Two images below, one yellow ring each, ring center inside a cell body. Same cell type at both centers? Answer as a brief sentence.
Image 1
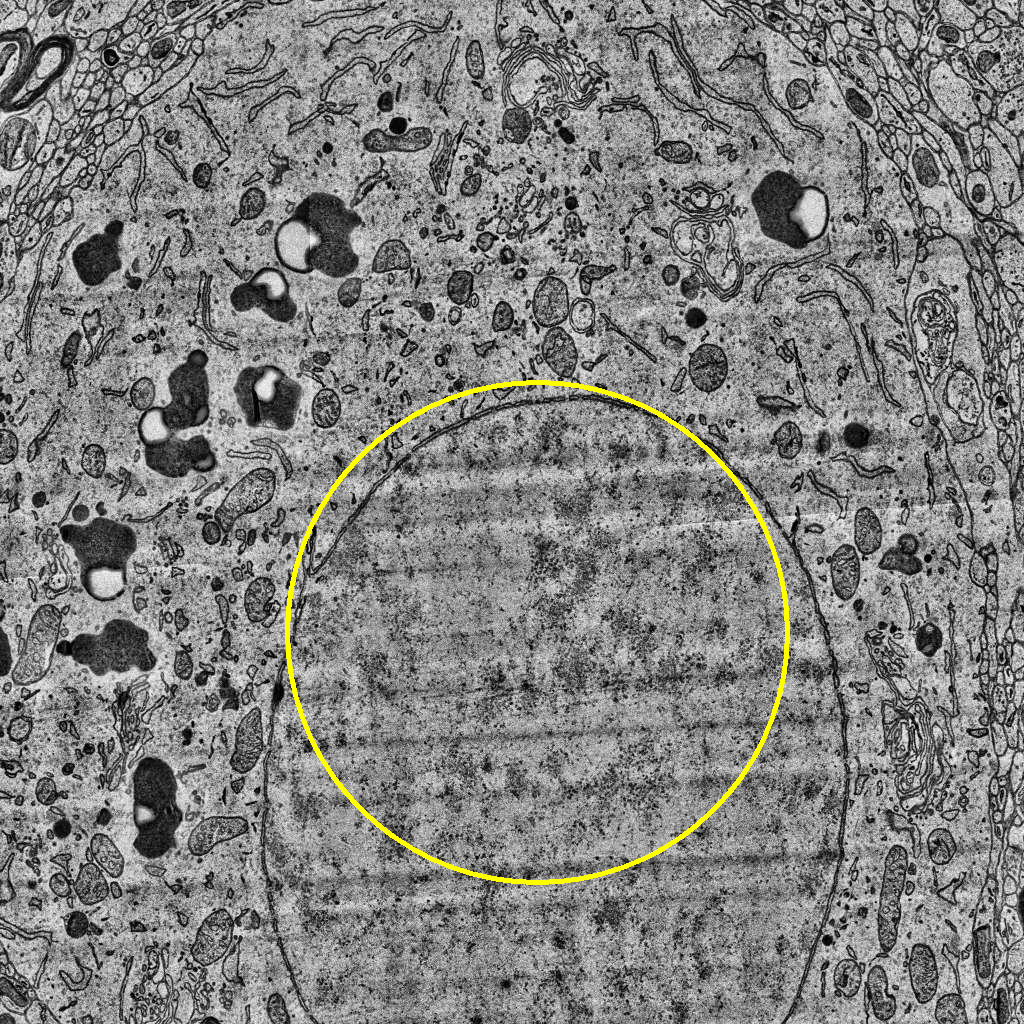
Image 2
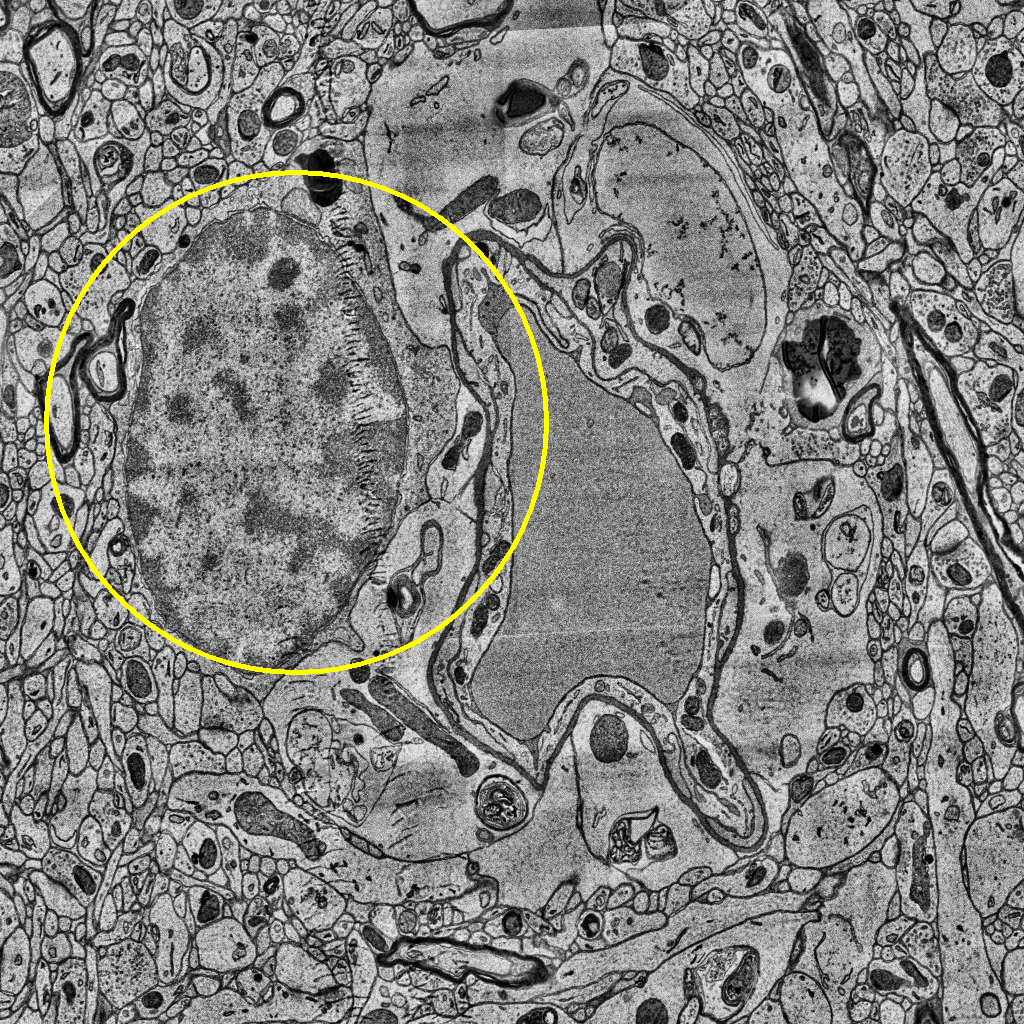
No, the cells are of two separate types.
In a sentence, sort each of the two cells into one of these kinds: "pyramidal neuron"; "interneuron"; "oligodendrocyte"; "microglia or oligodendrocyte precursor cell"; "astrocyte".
The first picture shows a pyramidal neuron at the ring centre and the second shows an oligodendrocyte.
